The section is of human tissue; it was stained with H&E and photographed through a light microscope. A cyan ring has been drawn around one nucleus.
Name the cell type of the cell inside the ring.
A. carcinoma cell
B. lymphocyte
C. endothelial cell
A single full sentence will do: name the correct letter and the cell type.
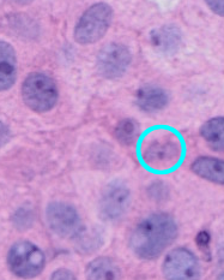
Here the cell inside the ring is a carcinoma cell, which makes option A correct.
